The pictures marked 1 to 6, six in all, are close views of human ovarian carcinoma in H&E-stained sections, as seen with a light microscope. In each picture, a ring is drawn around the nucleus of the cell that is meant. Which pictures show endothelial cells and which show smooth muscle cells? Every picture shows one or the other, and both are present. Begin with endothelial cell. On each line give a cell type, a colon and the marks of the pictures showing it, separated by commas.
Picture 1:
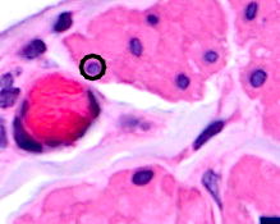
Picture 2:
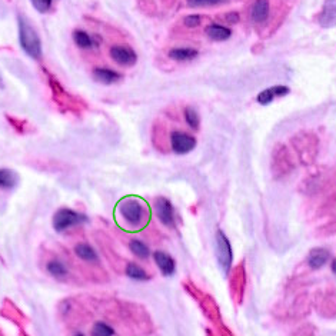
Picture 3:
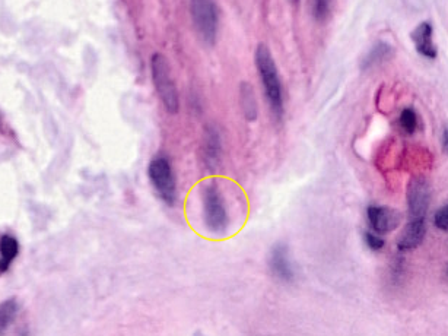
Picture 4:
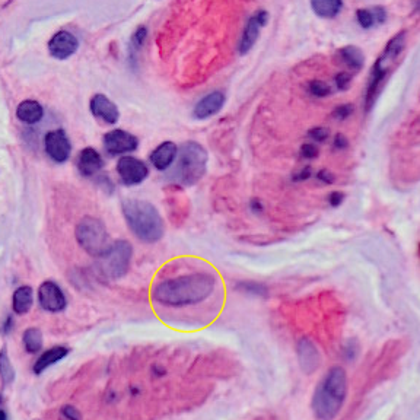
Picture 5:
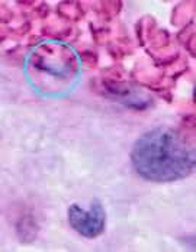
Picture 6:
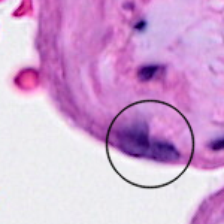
endothelial cell: 4, 5, 6
smooth muscle cell: 1, 2, 3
